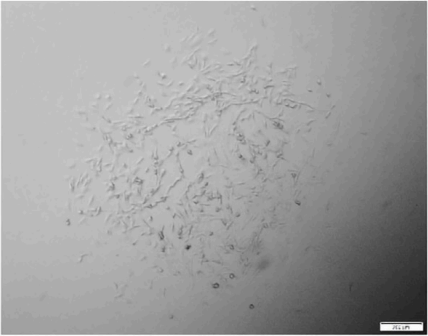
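Most cells are elongated and spindle-shaped, with tapering ends, and a few look more rounded or polygonal. They are spread loosely in a patch near the middle of the field, pointing in many directions and touching one another only here and there. Large areas of the dish around them are still empty, so the culture is far from confluent.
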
